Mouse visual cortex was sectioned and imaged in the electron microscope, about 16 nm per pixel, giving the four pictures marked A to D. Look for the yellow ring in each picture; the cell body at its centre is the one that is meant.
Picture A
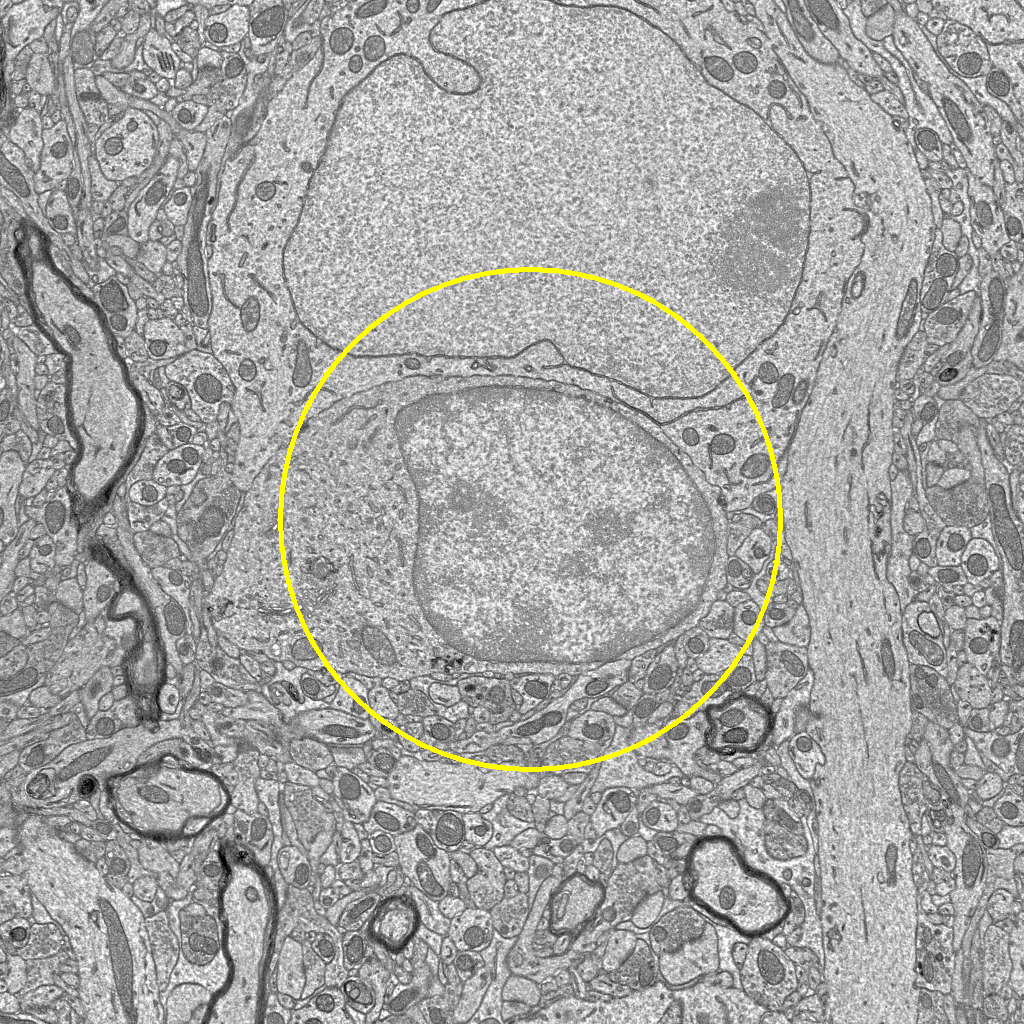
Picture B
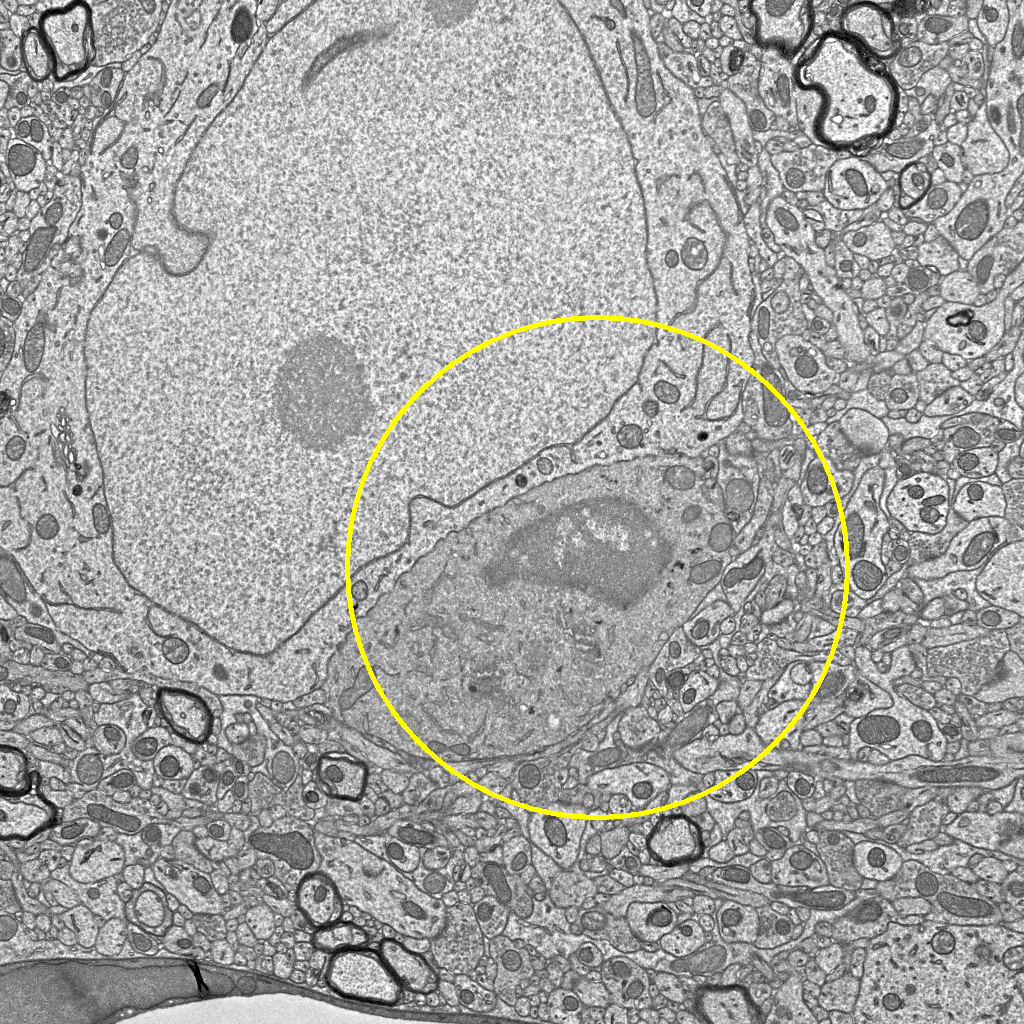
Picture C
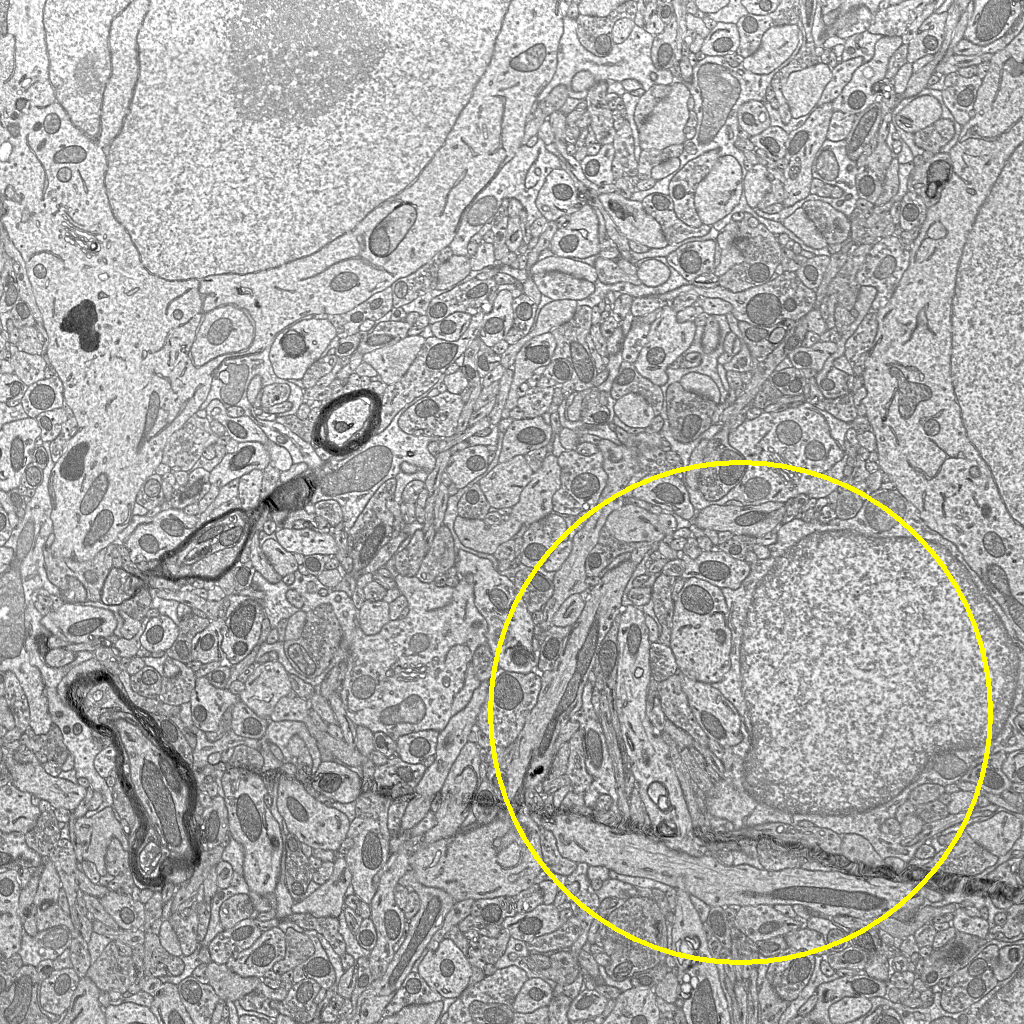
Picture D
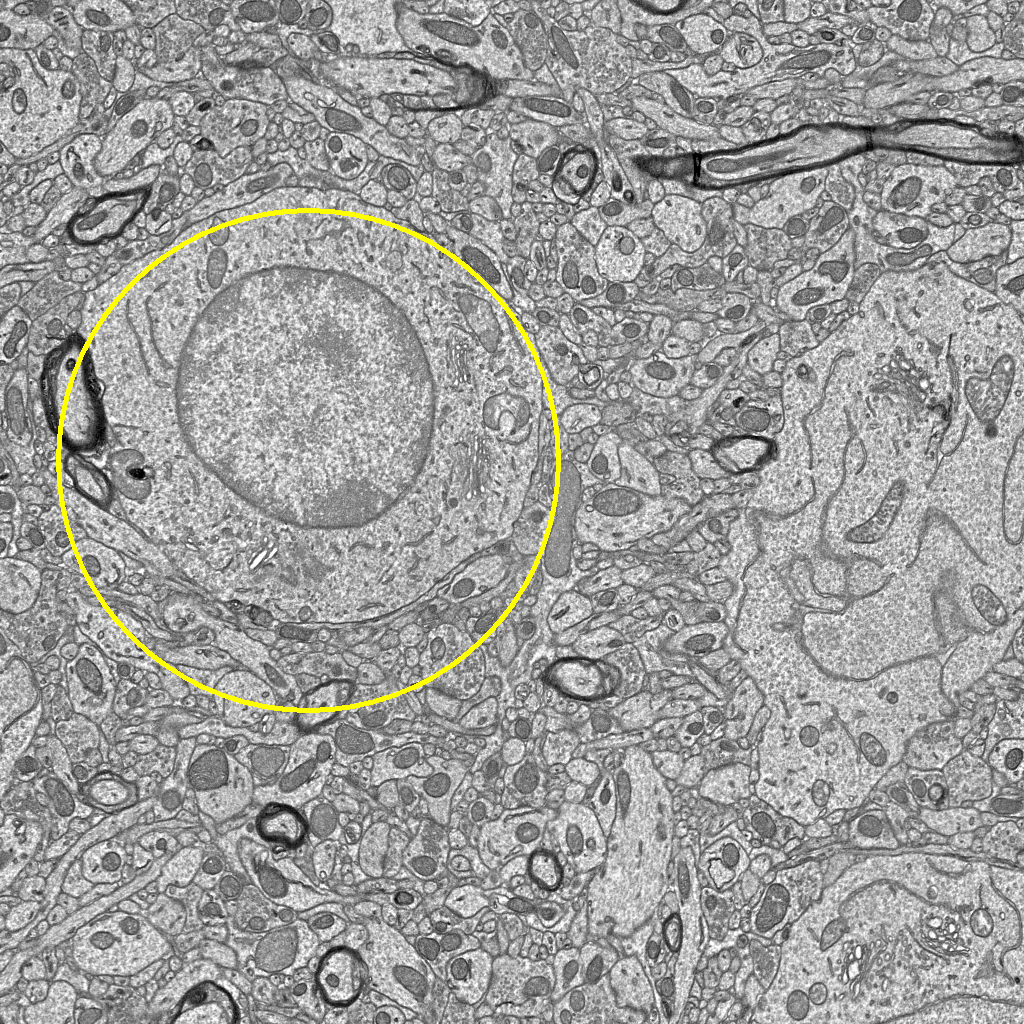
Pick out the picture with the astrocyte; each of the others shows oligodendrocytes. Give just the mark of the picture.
C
